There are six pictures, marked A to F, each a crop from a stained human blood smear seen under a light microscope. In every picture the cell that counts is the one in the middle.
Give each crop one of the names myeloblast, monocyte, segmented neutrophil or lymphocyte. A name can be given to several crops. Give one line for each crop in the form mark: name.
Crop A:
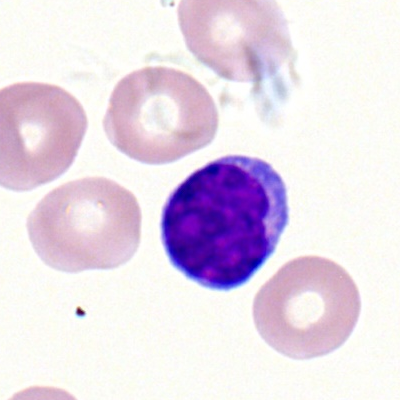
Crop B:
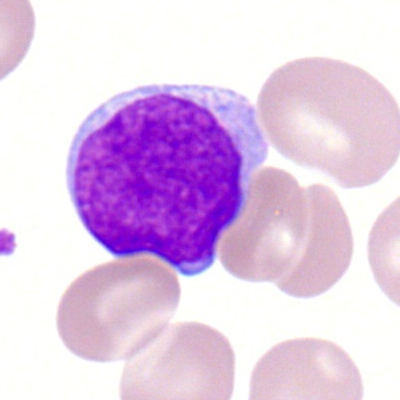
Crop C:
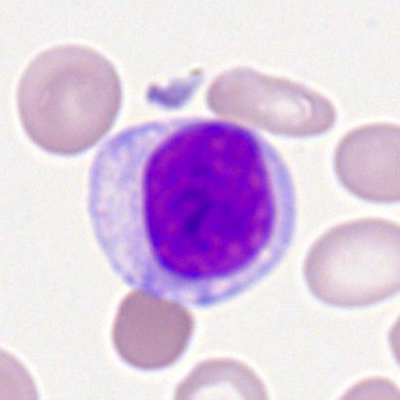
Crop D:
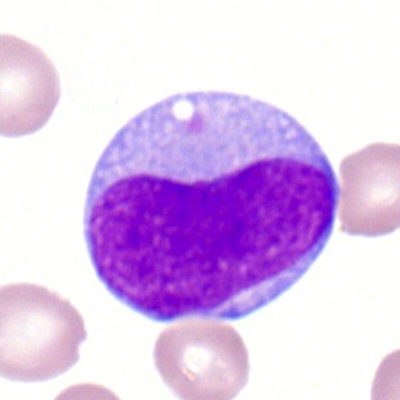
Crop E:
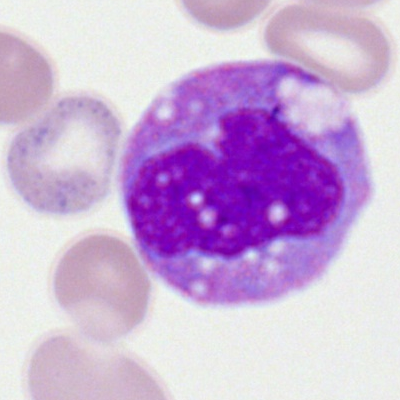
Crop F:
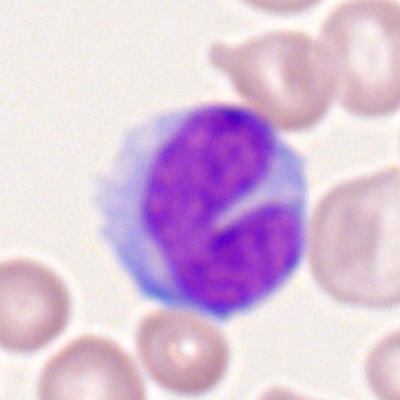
A: lymphocyte
B: myeloblast
C: lymphocyte
D: myeloblast
E: monocyte
F: monocyte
